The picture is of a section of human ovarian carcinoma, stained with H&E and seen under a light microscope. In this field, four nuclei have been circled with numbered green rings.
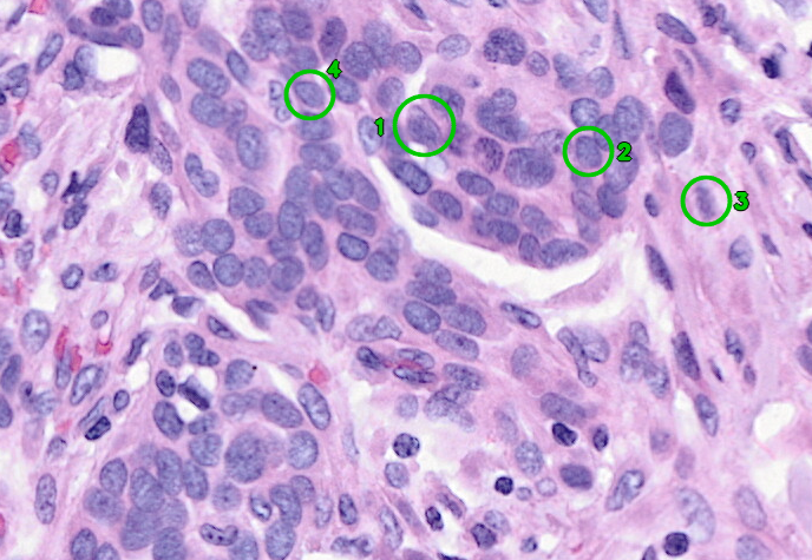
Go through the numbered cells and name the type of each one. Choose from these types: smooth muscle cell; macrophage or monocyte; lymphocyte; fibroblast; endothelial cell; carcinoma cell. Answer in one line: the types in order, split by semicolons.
carcinoma cell; carcinoma cell; fibroblast; carcinoma cell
